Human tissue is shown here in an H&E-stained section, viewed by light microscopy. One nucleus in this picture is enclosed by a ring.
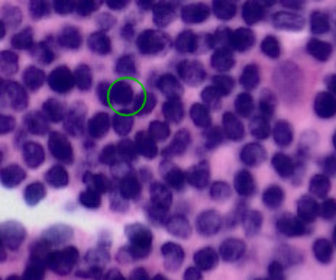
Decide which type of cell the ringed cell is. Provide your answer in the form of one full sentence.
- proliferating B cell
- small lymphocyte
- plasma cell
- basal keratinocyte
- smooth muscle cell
The cell type of the ringed cell is that of a small lymphocyte.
